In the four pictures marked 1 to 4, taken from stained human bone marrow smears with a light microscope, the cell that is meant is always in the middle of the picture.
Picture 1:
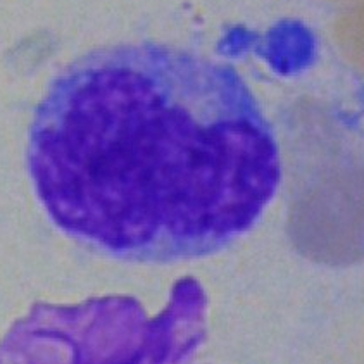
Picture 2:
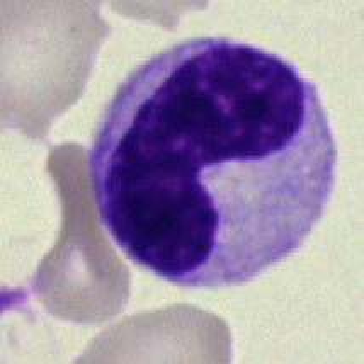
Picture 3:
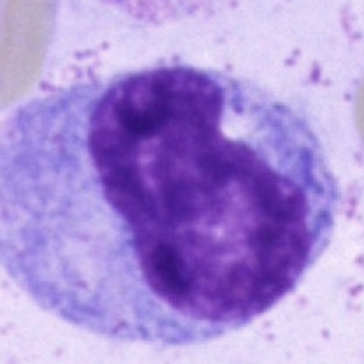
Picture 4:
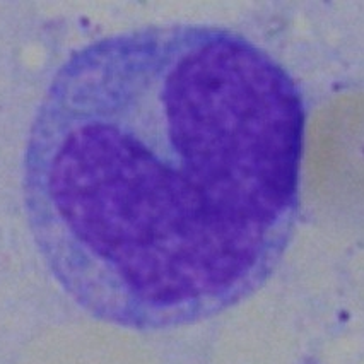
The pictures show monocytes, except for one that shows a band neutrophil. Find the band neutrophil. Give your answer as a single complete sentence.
It is picture 2 that shows the band neutrophil.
